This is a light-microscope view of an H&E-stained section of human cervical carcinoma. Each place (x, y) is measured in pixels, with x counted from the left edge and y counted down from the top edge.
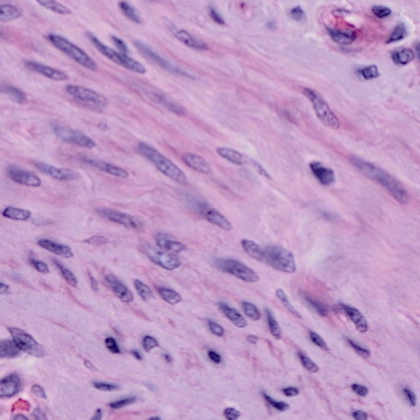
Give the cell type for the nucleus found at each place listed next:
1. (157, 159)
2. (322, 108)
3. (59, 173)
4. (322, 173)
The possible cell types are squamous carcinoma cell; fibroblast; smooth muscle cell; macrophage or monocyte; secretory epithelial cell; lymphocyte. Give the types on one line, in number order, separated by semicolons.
smooth muscle cell; smooth muscle cell; smooth muscle cell; lymphocyte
